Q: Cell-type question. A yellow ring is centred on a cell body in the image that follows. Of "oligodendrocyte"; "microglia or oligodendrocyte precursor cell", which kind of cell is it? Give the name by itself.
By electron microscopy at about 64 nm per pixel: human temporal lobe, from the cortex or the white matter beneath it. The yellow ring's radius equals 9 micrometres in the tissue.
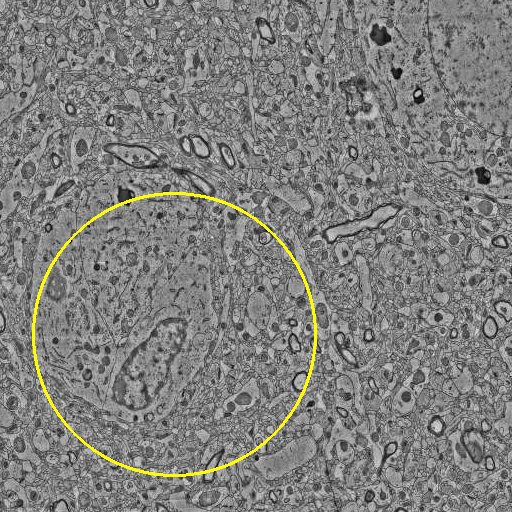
microglia or oligodendrocyte precursor cell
